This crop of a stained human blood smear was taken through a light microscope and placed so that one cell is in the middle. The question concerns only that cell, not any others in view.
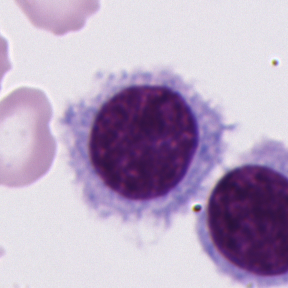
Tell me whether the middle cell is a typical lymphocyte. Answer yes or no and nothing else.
no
